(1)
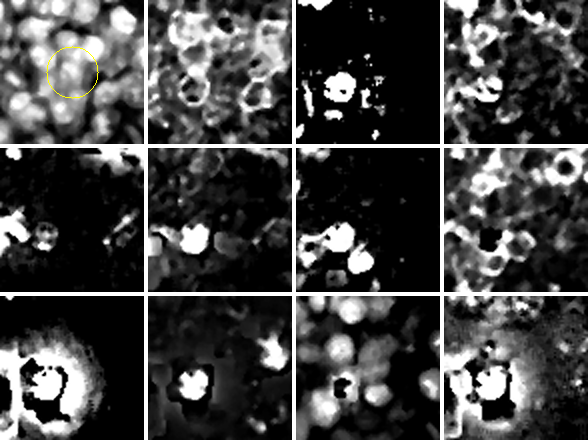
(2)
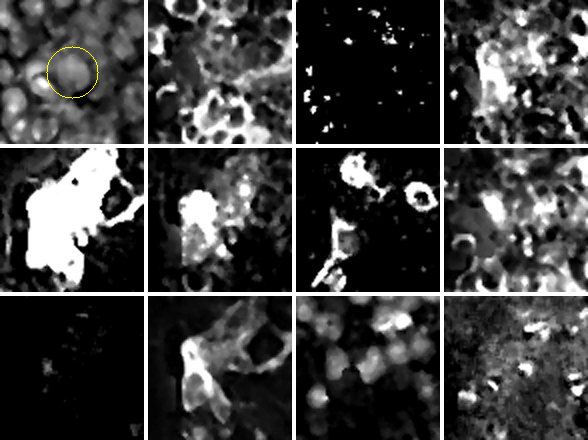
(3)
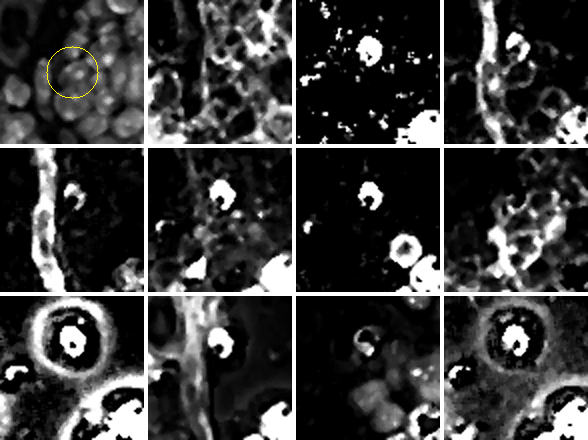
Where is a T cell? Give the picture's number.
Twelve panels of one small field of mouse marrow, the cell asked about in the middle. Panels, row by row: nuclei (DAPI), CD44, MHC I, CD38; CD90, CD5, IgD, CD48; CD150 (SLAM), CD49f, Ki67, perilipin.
2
